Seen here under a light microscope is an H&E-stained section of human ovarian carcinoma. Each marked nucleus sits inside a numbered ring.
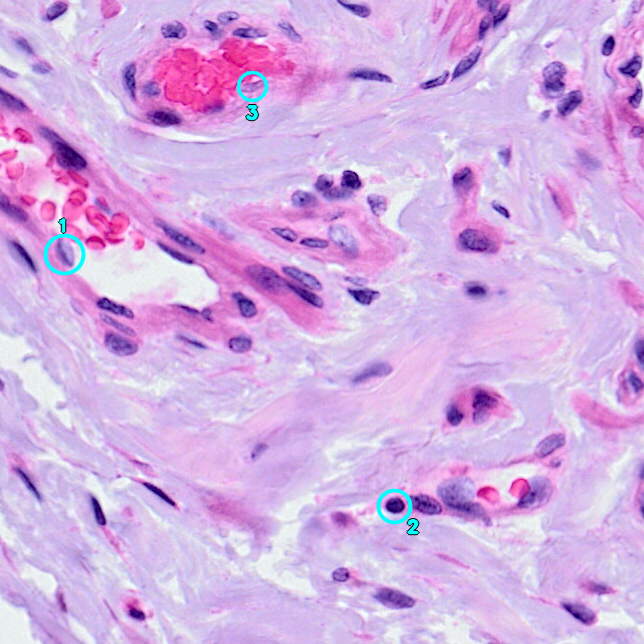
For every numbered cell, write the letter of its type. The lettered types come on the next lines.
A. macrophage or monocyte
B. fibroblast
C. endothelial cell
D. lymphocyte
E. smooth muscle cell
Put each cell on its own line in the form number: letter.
1: C
2: D
3: C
